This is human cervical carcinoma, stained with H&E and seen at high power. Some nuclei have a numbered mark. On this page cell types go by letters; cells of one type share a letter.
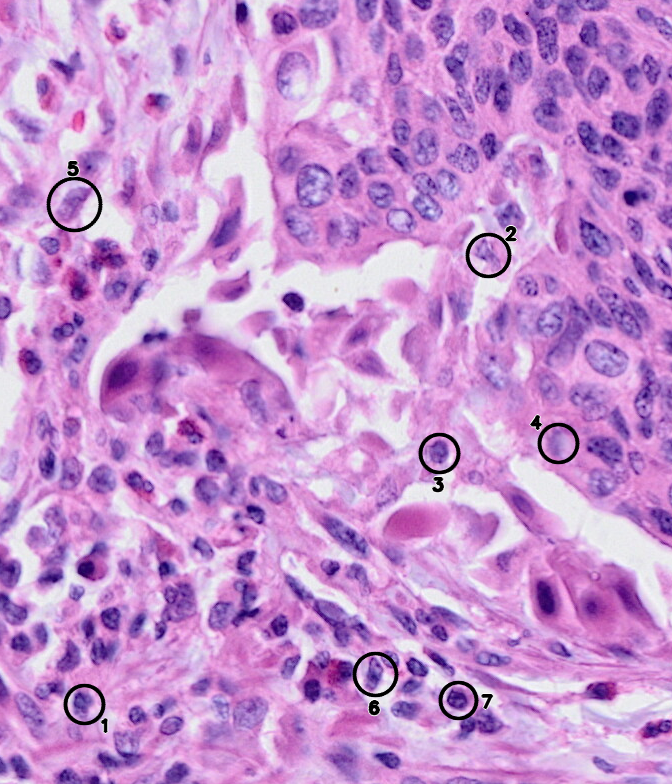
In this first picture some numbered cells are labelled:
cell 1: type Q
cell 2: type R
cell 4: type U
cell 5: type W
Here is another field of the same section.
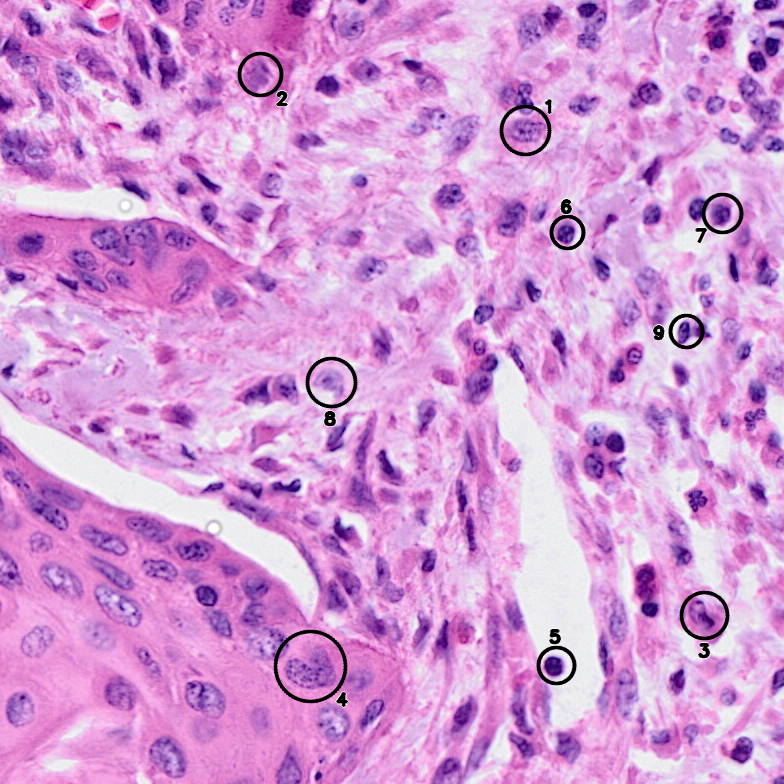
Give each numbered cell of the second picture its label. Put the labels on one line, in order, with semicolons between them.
type R; type W; type R; type U; type Q; type Q; type Q; type W; type Q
